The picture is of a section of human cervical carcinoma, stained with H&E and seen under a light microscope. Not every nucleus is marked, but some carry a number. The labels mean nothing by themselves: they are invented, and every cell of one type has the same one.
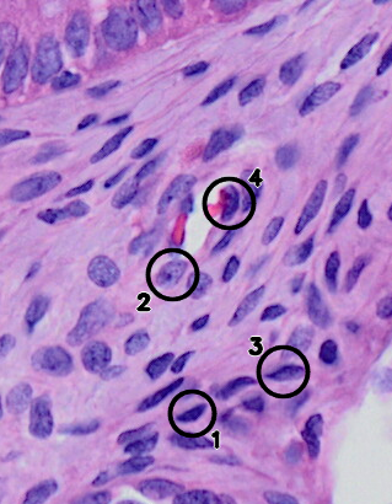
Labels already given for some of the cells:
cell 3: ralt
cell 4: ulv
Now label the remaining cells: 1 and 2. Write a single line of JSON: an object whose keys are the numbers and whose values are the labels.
{"1": "ralt", "2": "ulv"}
